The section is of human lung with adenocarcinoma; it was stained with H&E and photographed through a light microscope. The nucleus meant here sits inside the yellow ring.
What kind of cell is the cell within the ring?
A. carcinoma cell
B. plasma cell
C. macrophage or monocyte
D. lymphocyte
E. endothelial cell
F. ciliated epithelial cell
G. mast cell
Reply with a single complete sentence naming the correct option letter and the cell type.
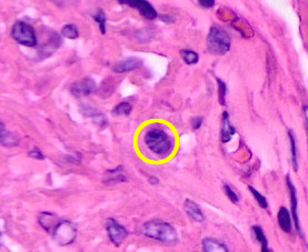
In this case the cell within the ring is a plasma cell, so option B is correct.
